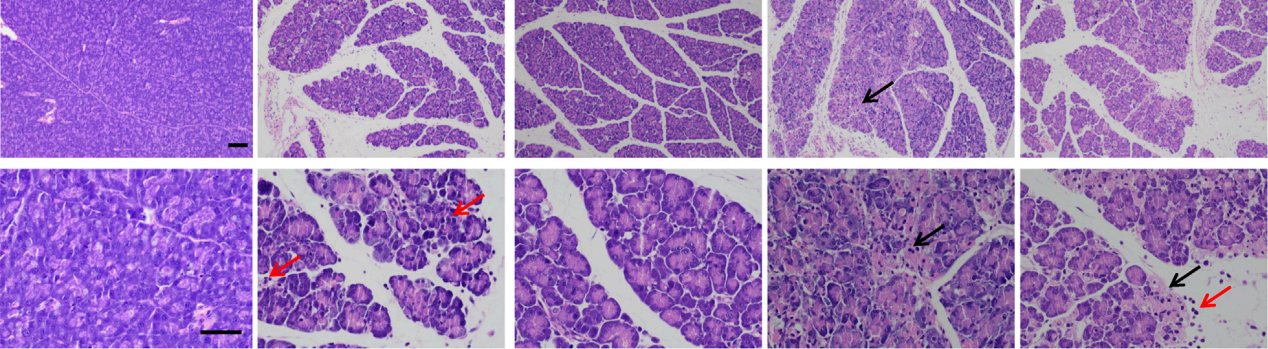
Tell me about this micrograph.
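These are sections of exocrine pancreas. The acinar cells stain pink to purple and are packed into lobules. In one field the lobules are tightly packed with little space between them. In the others, wide pale, nearly empty spaces separate the lobules, which is edema of the interlobular tissue. Small dark round nuclei of infiltrating cells lie scattered at the lobule edges and in the spaces between lobules. In some fields, patches of acinar tissue look paler and washed out. There, cell borders are blurred and nuclei are scattered, which marks necrosis.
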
